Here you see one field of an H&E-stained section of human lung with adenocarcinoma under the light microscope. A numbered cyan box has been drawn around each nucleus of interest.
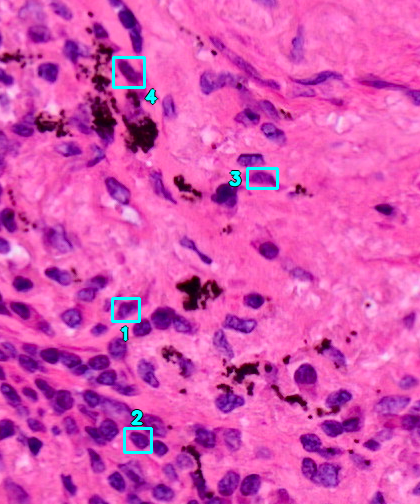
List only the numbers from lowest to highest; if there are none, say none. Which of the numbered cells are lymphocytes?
2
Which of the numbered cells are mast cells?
none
